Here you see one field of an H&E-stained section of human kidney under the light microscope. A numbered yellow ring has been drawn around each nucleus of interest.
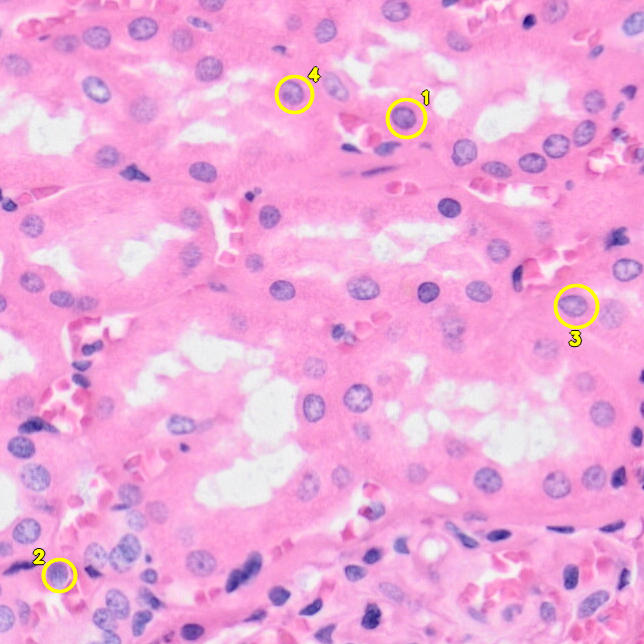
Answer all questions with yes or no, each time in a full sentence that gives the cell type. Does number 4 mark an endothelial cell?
No, cell 4 is a proximal tubule cell; it is not an endothelial cell.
